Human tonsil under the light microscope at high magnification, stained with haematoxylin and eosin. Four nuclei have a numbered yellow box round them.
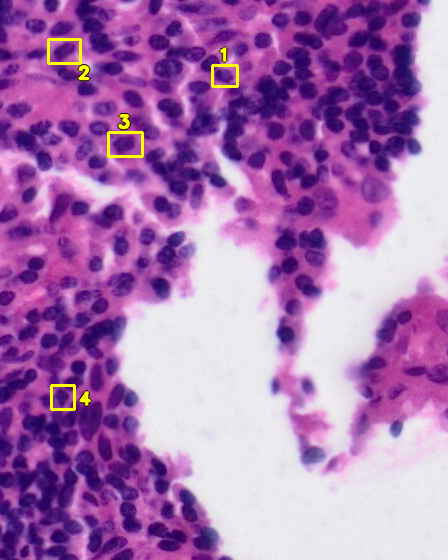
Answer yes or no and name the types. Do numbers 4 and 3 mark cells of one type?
No, cell 4 is classed as a small lymphocyte and cell 3 as a plasma cell.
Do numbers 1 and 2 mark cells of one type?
Yes, cells 1 and 2 are, both of them, plasma cells.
